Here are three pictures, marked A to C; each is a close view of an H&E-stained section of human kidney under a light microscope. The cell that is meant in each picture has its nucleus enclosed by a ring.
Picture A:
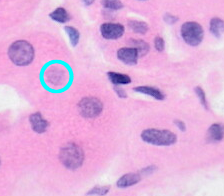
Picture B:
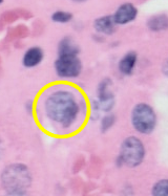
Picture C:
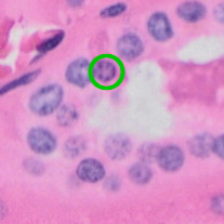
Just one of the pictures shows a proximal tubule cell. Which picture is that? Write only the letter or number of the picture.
A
